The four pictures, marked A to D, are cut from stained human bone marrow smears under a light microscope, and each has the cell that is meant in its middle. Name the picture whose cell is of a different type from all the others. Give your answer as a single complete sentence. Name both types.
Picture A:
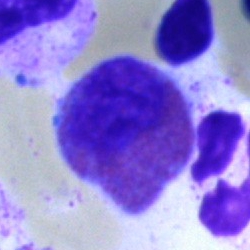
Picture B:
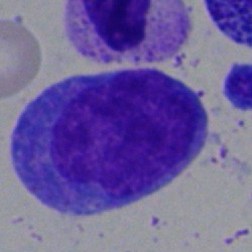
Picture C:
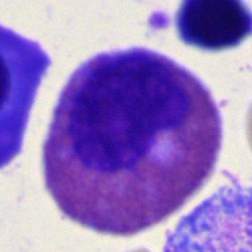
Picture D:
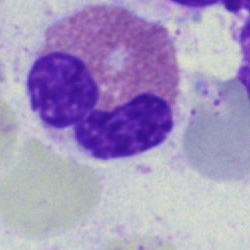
The others show eosinophils, but picture B shows a promyelocyte.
